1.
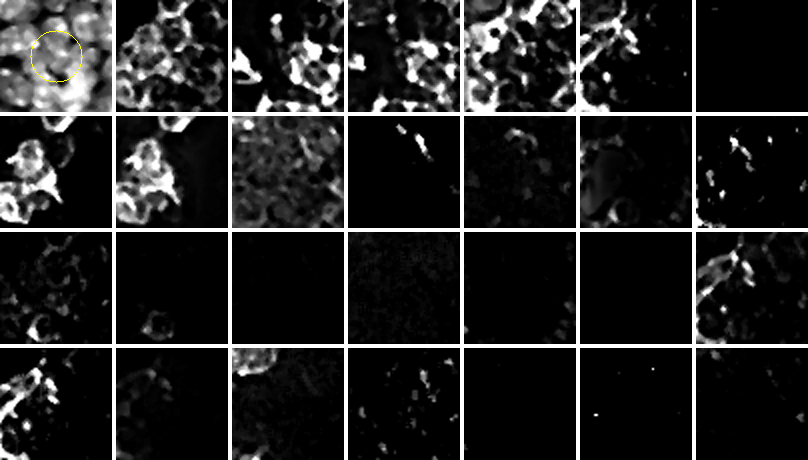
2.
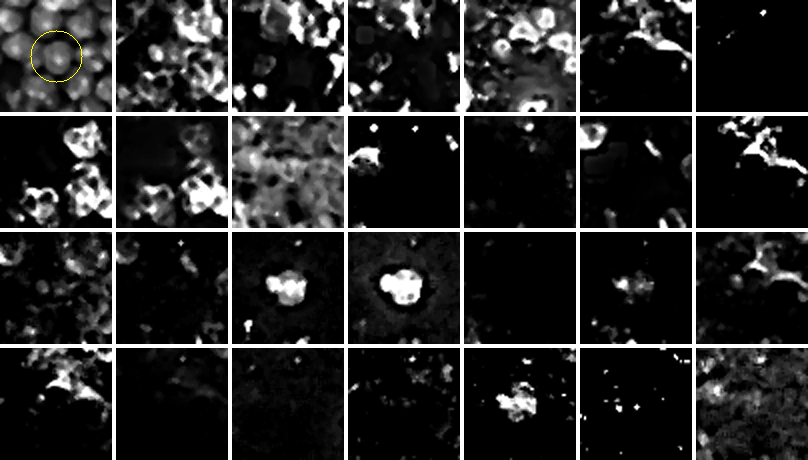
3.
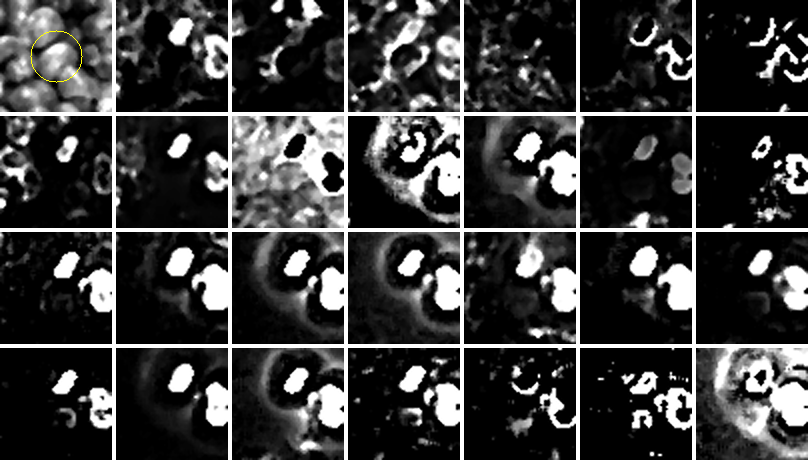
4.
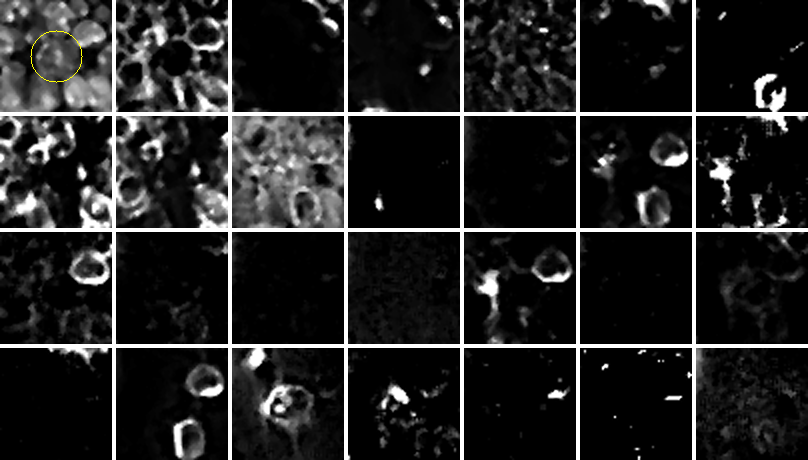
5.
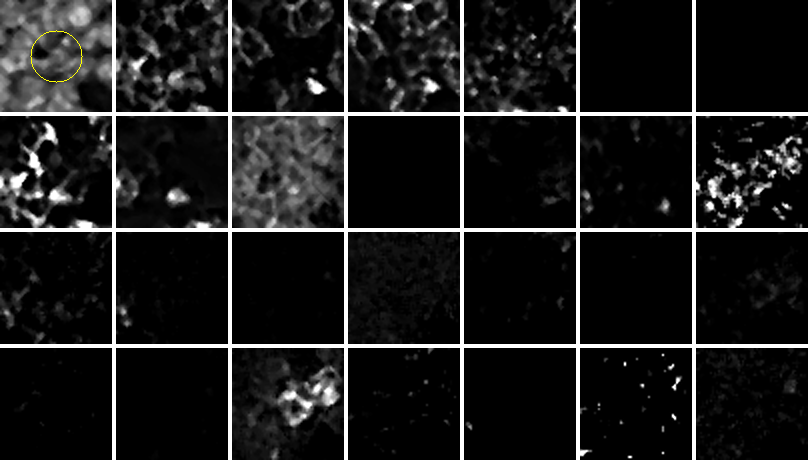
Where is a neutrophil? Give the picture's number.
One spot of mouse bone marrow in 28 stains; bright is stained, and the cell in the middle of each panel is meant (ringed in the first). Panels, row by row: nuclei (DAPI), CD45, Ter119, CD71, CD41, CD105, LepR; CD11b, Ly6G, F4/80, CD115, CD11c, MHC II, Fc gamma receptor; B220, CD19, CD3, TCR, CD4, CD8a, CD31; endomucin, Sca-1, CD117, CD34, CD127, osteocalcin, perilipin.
1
